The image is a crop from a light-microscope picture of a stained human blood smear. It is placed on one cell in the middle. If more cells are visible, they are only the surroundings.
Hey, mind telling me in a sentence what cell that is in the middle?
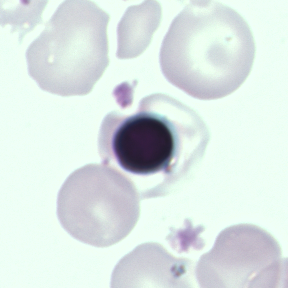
The middle cell in this particular crop is a normoblast.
